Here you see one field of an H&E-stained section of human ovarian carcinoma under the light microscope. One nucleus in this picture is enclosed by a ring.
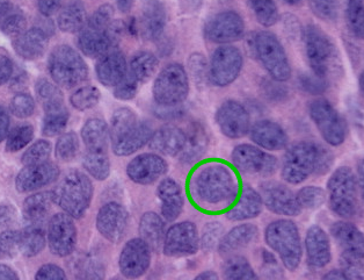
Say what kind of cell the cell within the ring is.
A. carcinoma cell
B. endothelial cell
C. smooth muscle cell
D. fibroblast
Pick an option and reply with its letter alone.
A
